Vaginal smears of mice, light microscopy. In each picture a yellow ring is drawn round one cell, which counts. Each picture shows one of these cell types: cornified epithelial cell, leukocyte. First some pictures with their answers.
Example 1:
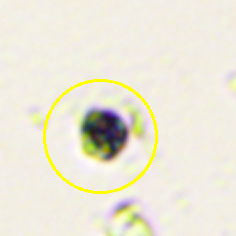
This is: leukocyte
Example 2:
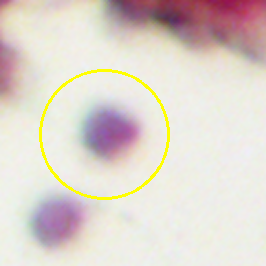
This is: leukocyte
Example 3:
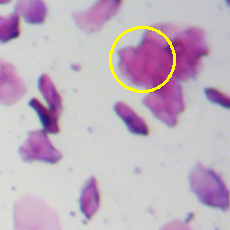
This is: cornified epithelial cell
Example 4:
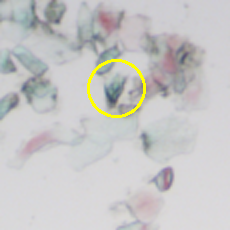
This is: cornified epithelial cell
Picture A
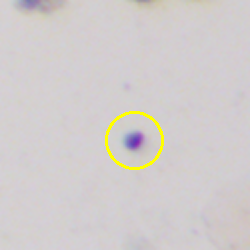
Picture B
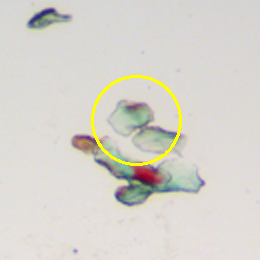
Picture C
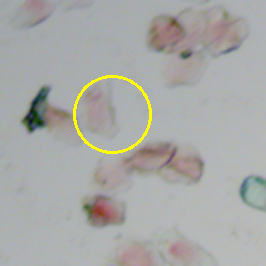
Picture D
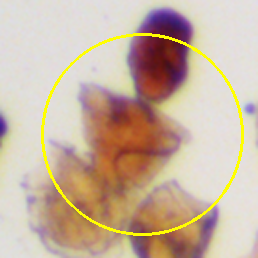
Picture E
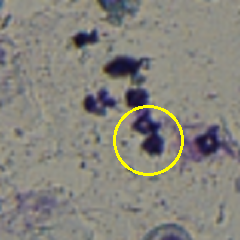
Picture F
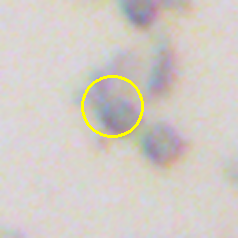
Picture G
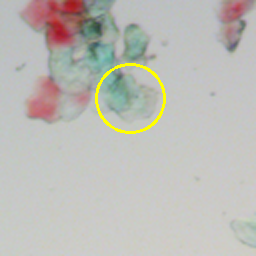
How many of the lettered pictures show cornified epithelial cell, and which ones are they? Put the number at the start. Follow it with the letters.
4, namely B, C, D, G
